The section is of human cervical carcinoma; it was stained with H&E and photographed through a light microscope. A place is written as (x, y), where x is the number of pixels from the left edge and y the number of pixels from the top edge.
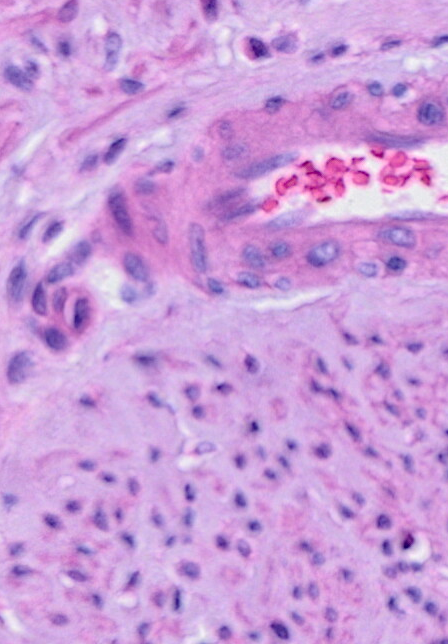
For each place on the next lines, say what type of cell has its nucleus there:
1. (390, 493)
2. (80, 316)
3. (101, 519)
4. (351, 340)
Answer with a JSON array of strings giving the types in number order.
["smooth muscle cell", "endothelial cell", "smooth muscle cell", "smooth muscle cell"]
